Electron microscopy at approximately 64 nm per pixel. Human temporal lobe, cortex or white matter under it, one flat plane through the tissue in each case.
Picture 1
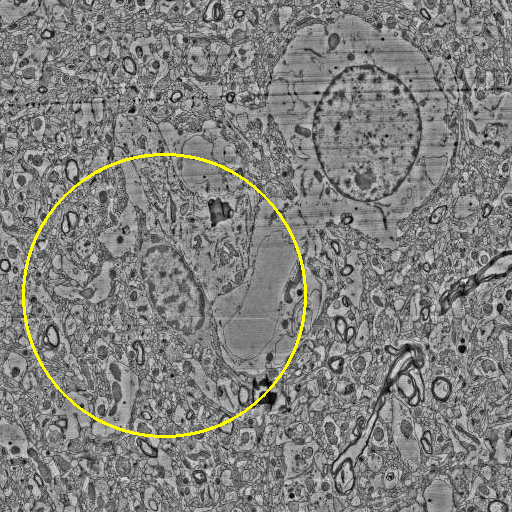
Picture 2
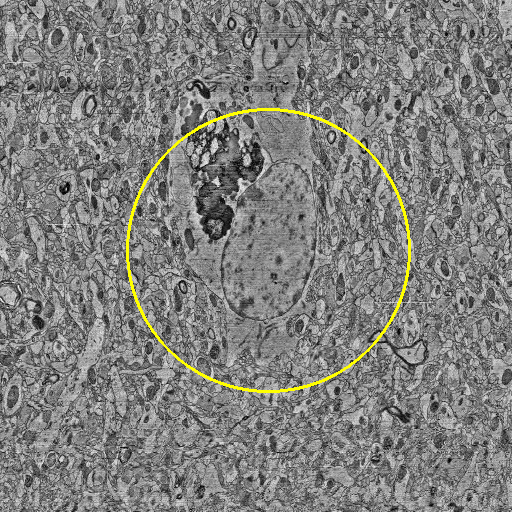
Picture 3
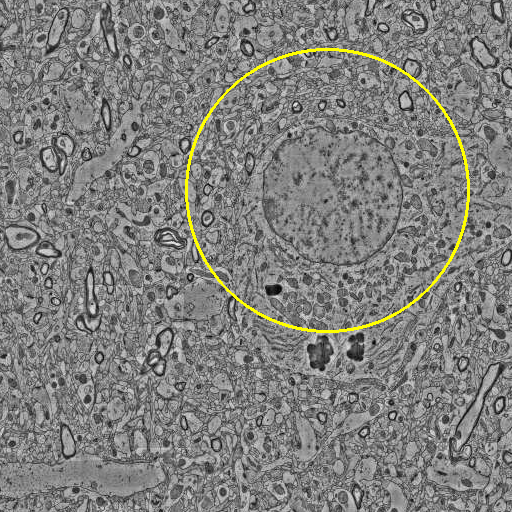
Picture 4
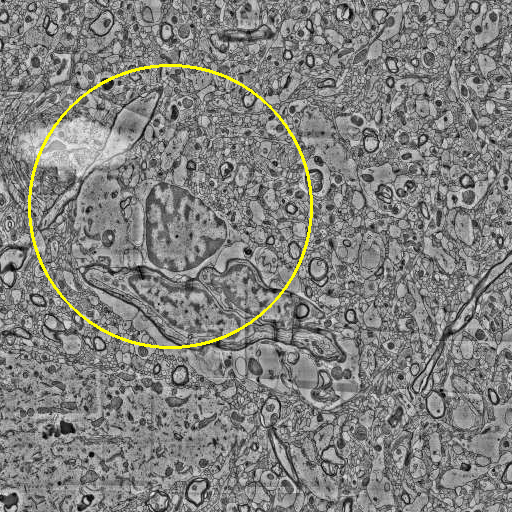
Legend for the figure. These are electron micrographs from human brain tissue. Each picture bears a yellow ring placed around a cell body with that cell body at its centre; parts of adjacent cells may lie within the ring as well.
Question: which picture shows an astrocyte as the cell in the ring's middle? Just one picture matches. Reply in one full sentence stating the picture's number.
It is picture 2 whose yellow ring is centred on the requested cell.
